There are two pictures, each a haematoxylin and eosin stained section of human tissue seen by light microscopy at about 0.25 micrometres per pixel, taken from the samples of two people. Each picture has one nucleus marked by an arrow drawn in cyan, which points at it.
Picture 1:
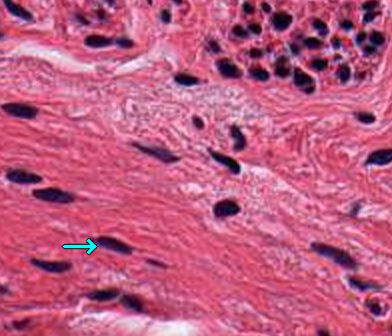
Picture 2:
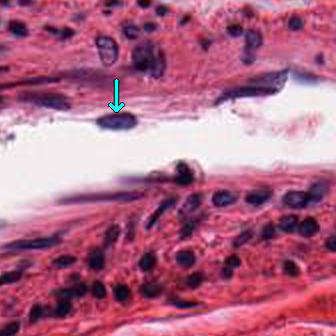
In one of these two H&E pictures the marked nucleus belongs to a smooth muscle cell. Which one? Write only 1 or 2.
1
